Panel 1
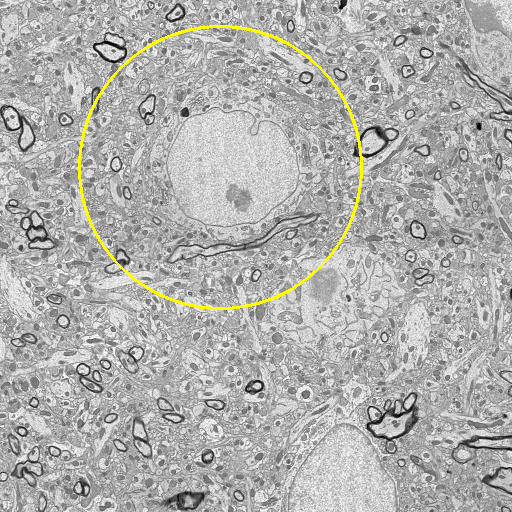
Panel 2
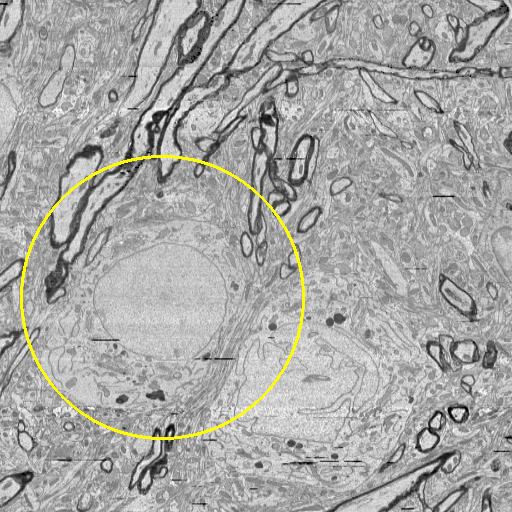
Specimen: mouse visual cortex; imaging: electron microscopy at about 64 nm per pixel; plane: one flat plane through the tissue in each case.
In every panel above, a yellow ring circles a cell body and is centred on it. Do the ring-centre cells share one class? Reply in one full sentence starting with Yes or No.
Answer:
Yes, the two cells at the ring centres in the panels belong to one class.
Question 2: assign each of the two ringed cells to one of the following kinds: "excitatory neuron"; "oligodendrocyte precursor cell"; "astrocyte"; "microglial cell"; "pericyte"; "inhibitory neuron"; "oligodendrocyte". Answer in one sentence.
Both cells are the same kind, each one being an excitatory neuron.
